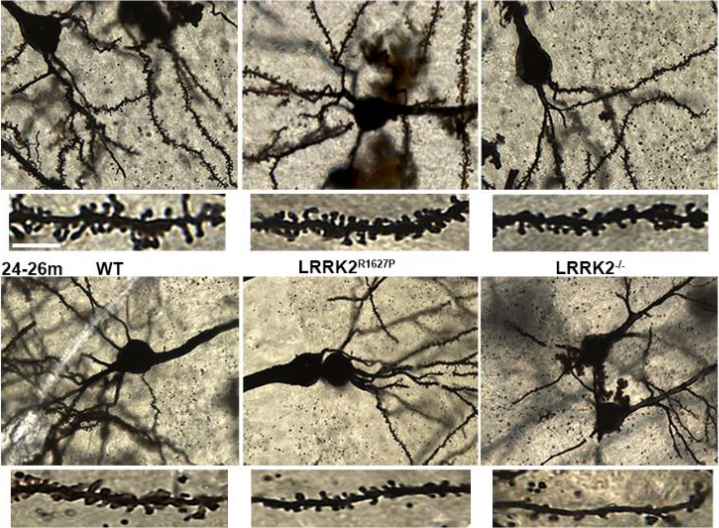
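The cell bodies are rounded to polygonal and give rise to several long, tapering dendrites that branch as they run outward. Beneath each image, an enlarged strip shows a single dendrite segment. Along this segment, many small dark knob-like spines project from the shaft. In some strips they are closely packed; in others they are sparser, and the shaft is thinner.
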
